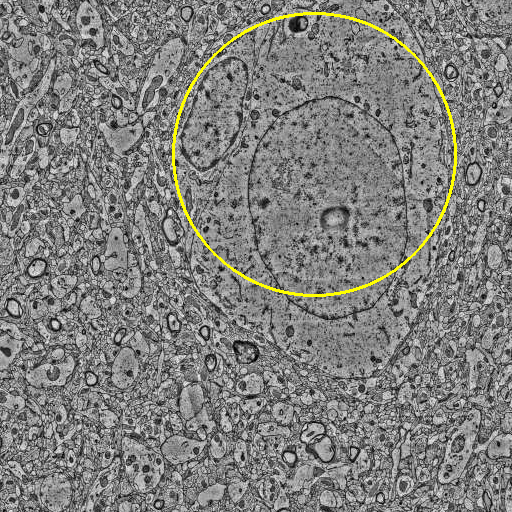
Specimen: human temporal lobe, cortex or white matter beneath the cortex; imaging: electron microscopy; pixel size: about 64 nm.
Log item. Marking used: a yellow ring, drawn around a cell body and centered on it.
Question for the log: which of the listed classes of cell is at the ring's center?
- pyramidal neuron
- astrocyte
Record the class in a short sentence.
At the center of the ring lies a pyramidal neuron.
